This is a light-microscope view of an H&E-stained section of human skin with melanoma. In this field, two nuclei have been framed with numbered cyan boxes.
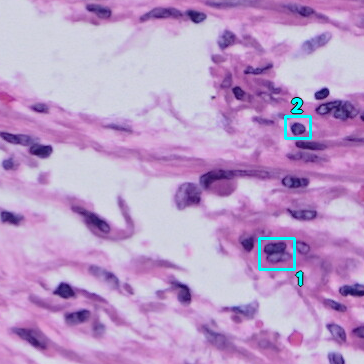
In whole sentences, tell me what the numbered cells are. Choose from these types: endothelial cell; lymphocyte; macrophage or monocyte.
Cell 1 is an endothelial cell. Cell 2 is a lymphocyte.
